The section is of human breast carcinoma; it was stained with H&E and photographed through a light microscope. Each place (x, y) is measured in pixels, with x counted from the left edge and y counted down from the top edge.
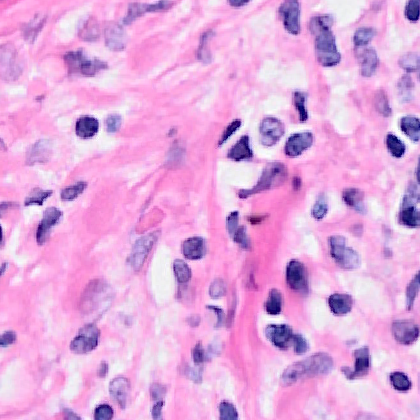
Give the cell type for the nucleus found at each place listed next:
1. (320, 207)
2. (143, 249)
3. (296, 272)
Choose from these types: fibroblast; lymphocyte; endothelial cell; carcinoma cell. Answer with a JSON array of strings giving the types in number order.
["lymphocyte", "endothelial cell", "lymphocyte"]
